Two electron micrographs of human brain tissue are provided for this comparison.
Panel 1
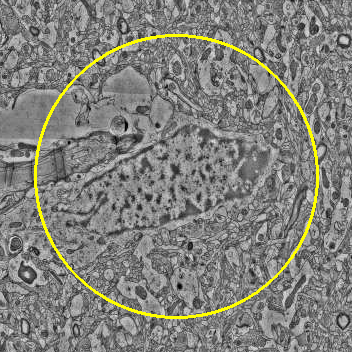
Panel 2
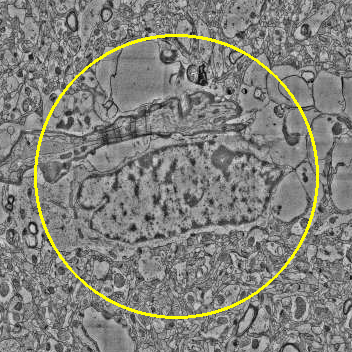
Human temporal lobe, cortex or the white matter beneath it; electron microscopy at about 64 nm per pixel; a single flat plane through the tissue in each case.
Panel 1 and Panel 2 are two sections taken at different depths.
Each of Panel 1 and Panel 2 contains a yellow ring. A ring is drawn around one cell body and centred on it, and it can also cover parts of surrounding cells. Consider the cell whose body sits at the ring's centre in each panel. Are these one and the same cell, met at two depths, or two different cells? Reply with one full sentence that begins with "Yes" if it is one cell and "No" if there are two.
Yes, both marked profiles belong to the very same cell.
